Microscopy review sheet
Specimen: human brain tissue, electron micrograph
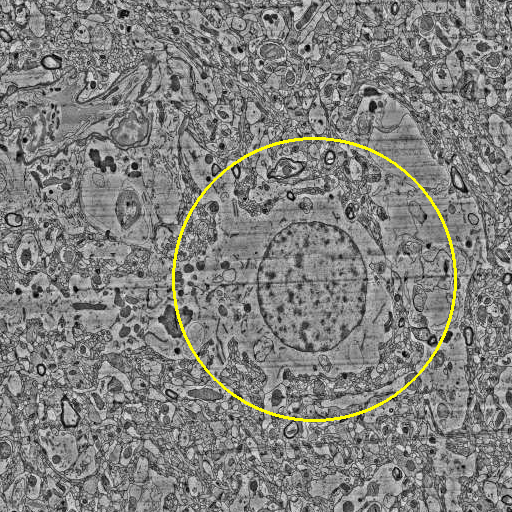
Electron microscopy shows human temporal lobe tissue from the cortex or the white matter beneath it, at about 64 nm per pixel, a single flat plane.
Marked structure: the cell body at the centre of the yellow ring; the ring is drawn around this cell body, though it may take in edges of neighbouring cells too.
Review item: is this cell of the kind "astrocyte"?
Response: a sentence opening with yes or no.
Yes, this cell is of that kind.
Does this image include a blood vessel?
Yes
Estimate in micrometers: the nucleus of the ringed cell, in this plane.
About 8 by 7 micrometers for the nucleus, in this plane.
